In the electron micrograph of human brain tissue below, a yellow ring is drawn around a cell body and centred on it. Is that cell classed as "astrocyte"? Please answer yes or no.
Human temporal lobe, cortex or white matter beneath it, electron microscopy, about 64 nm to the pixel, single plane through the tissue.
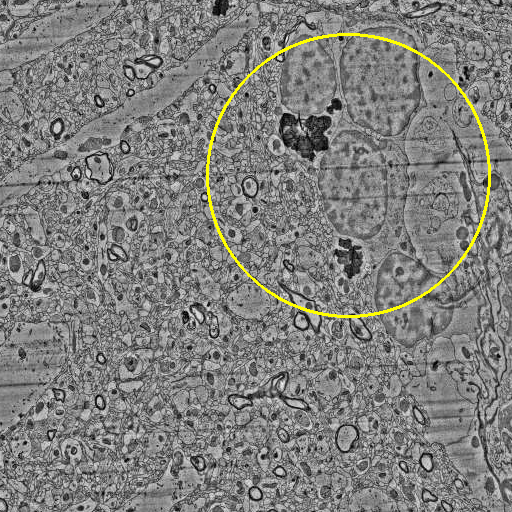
no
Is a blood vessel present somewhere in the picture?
Yes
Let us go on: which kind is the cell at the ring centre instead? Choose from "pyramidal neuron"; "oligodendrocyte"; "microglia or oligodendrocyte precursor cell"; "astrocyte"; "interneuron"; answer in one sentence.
The ringed cell in this picture is, instead, an oligodendrocyte.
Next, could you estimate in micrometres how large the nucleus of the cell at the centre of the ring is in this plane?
Roughly 7 by 5 micrometres; in this plane, clearly longer than it is wide.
